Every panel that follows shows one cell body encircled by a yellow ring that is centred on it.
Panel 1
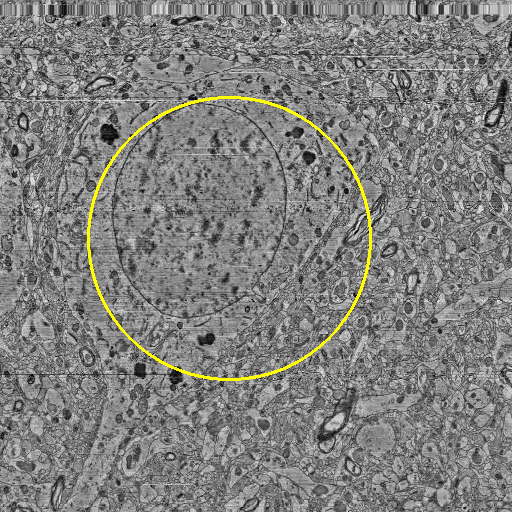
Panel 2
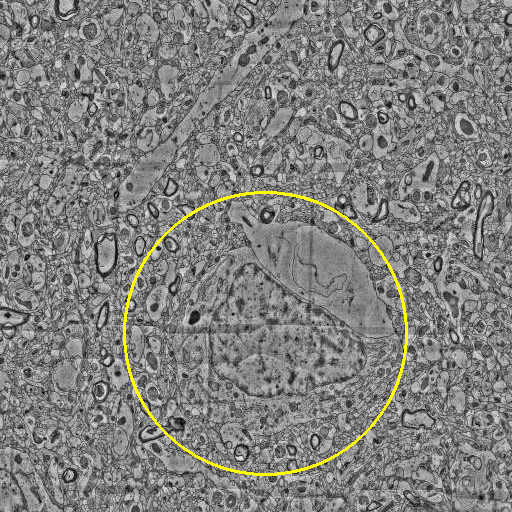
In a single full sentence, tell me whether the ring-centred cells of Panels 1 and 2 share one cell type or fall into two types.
In Panel 1 and Panel 2, the cells at the ring centres fall into two types.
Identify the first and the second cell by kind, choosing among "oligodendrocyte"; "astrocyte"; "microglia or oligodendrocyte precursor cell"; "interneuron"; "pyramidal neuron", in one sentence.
The one in the first picture is a pyramidal neuron, while the one in the second is an interneuron.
